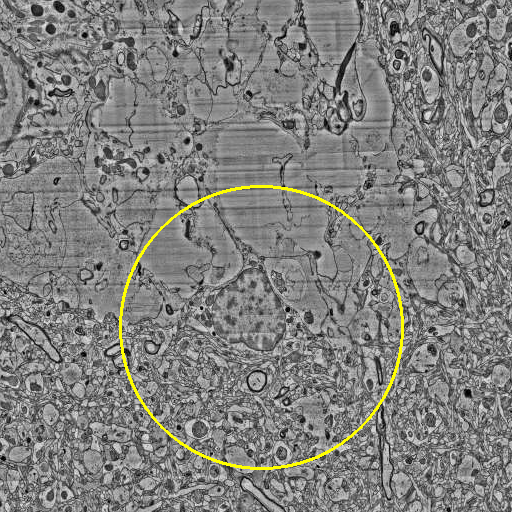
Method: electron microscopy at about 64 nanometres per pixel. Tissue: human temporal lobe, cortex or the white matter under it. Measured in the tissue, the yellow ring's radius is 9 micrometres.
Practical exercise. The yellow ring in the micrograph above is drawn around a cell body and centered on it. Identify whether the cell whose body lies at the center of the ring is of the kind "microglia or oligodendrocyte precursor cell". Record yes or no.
yes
